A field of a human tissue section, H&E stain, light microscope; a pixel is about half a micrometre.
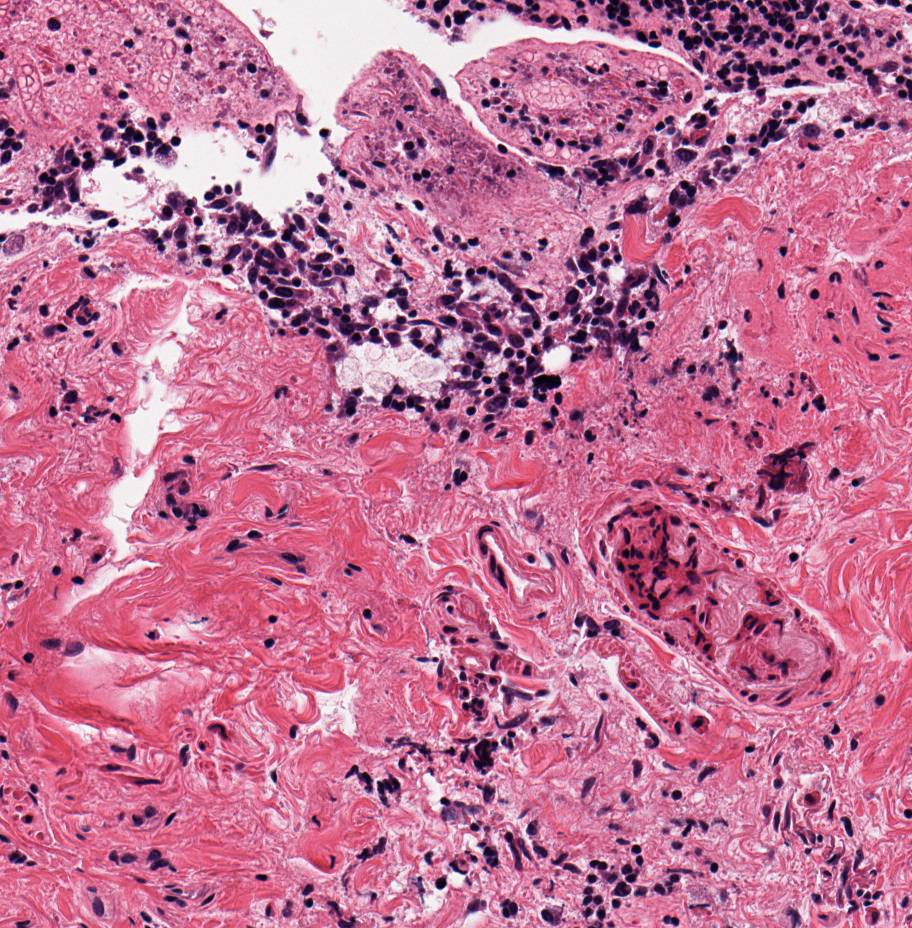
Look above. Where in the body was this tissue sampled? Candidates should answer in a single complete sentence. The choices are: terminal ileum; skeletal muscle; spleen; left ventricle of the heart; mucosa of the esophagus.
A sample from the terminal ileum makes up this section.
